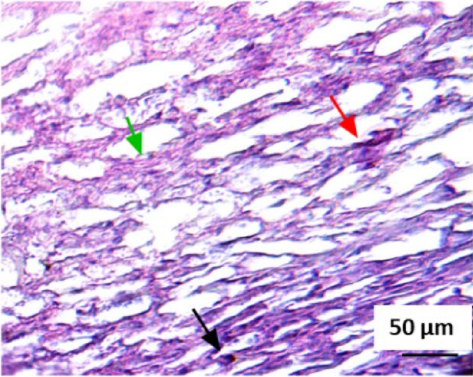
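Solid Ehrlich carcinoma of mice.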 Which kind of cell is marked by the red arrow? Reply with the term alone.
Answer: apoptotic cells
